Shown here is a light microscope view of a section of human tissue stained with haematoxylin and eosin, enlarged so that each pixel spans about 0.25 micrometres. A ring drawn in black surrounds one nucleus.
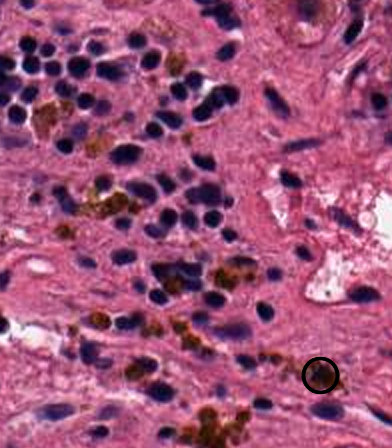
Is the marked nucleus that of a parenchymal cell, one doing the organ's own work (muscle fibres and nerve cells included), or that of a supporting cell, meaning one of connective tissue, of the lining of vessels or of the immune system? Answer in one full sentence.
The marked nucleus is identified as belonging to a supporting cell.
